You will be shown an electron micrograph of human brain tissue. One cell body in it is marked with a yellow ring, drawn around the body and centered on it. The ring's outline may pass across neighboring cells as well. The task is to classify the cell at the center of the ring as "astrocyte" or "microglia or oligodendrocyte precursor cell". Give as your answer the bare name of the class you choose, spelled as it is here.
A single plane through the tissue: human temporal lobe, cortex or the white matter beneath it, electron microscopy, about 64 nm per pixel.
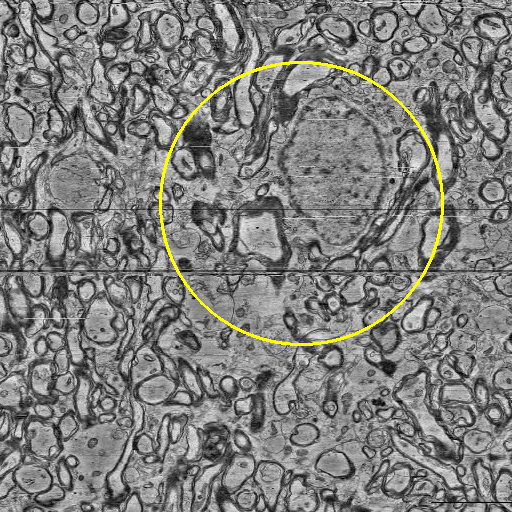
astrocyte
